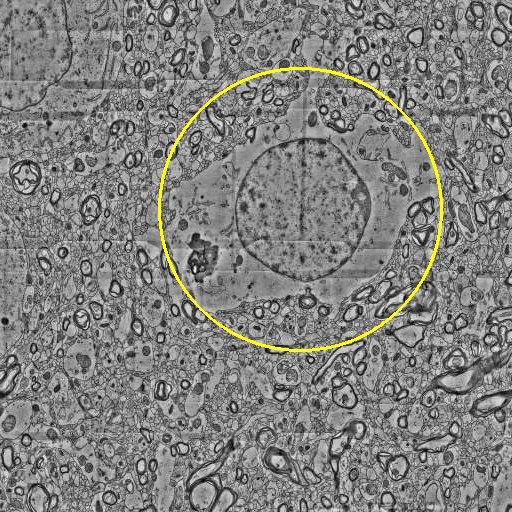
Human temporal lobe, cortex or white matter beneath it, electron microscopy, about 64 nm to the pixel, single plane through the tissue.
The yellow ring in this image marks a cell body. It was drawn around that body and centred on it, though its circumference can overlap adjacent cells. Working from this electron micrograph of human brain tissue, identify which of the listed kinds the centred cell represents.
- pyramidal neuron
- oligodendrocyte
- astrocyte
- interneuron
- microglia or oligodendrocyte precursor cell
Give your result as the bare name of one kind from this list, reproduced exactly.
astrocyte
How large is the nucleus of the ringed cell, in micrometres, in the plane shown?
About 9 micrometres across in this plane.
